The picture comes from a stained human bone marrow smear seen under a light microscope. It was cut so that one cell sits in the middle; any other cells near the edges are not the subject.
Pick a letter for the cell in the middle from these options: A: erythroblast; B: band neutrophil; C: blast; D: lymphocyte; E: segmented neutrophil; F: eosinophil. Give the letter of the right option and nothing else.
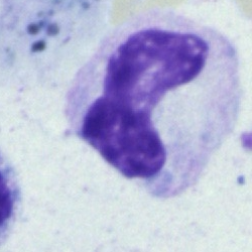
B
